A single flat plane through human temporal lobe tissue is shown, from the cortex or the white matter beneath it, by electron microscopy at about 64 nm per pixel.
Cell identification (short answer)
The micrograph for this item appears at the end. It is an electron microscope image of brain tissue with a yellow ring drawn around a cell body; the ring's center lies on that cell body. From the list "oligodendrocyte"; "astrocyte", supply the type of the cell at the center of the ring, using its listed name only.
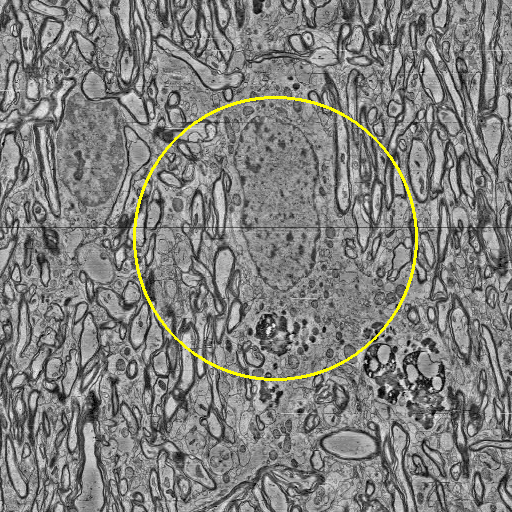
astrocyte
